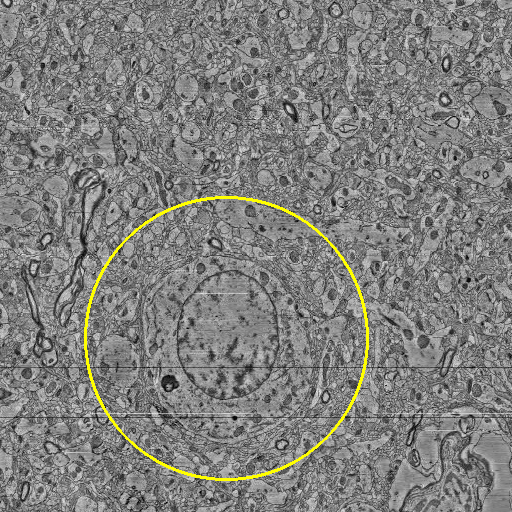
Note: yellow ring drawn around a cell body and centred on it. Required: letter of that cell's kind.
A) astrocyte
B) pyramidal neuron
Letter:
B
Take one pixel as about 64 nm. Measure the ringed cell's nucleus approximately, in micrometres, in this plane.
In this plane, the nucleus of the cell at the centre of the ring measures about 8 by 7 micrometres.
